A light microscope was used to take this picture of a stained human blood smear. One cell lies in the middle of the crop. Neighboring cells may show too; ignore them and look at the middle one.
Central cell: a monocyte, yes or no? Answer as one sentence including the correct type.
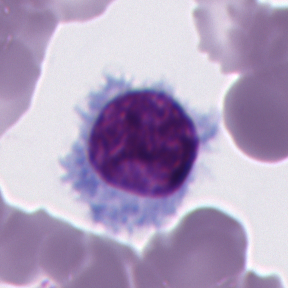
No, the cell in the middle is categorised as a hairy cell, not a monocyte.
